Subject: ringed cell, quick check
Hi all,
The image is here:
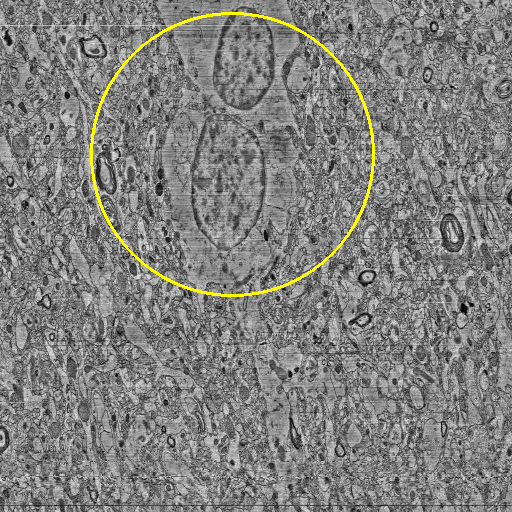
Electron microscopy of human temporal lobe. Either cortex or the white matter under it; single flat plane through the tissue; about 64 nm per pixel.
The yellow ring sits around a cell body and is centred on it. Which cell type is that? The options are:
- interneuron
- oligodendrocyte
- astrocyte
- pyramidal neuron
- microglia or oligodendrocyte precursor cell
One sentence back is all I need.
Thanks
That ringed cell is an astrocyte.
